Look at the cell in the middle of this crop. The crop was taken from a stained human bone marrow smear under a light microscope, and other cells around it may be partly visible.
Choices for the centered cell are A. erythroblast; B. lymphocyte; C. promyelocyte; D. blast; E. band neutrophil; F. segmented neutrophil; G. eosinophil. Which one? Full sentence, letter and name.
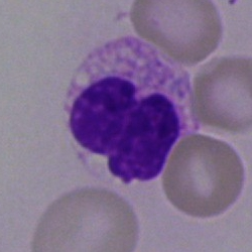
Of the options given, F is correct, the central cell being a segmented neutrophil.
